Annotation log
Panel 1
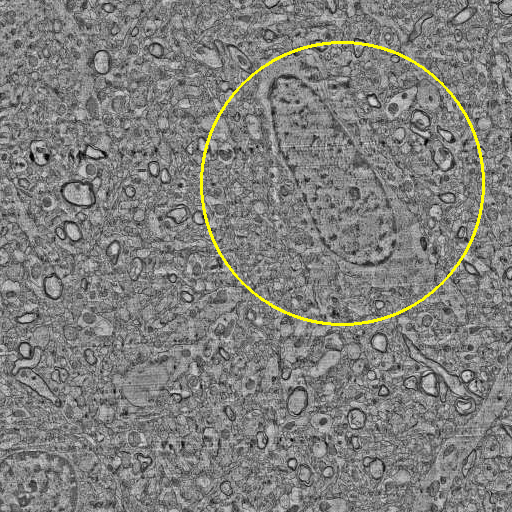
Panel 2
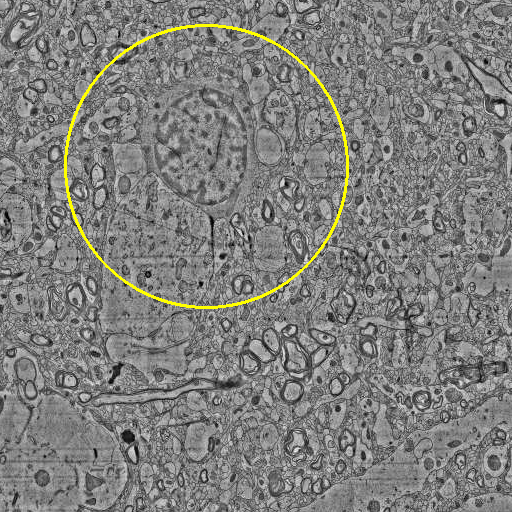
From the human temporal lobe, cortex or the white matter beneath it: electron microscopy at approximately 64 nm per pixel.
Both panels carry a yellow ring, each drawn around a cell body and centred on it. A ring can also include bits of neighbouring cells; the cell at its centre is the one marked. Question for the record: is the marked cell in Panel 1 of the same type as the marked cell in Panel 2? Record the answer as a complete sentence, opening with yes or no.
No, the marked cells in Panel 1 and Panel 2 are of two types.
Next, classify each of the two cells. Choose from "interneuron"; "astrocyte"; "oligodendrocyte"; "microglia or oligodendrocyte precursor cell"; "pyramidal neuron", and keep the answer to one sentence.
In the first picture it is a microglial cell or oligodendrocyte precursor cell; in the second it is an oligodendrocyte.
